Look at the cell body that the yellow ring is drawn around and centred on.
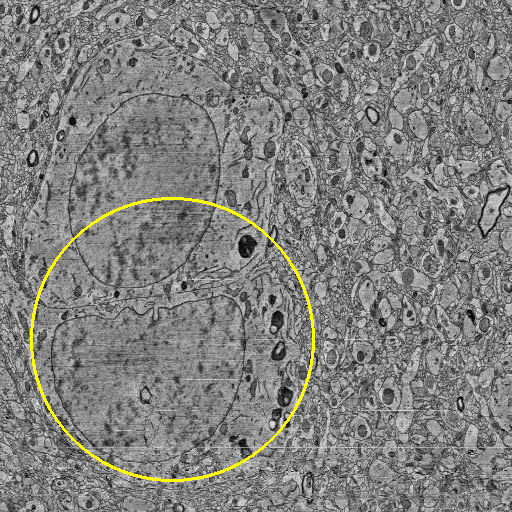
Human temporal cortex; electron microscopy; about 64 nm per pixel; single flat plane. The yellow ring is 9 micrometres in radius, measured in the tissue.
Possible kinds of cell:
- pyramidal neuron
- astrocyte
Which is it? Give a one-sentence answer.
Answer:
The centred cell body is that of a pyramidal neuron.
